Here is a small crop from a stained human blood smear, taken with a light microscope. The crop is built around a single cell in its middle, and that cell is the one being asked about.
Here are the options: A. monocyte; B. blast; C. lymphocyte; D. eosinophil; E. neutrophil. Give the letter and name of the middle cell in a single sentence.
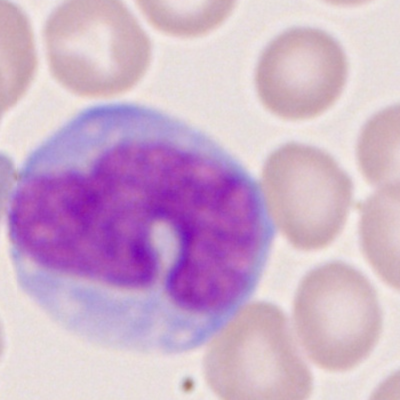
Option A is correct in naming the middle cell a monocyte.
